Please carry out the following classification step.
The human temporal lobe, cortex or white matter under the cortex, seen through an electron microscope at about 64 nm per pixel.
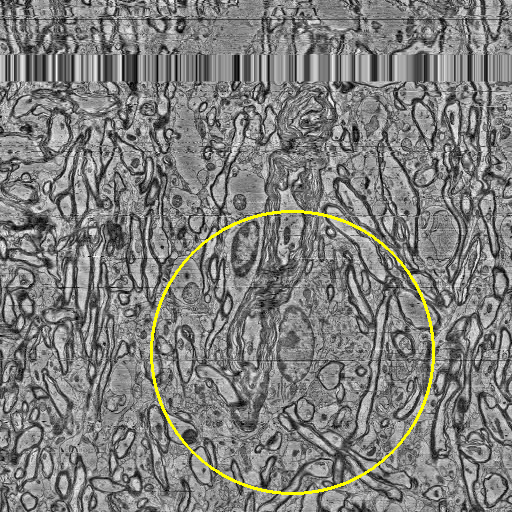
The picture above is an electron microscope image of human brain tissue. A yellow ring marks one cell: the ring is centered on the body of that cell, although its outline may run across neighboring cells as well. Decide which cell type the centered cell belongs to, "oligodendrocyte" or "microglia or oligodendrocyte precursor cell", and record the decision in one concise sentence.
The cell centered in the yellow ring is a microglial cell or oligodendrocyte precursor cell.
